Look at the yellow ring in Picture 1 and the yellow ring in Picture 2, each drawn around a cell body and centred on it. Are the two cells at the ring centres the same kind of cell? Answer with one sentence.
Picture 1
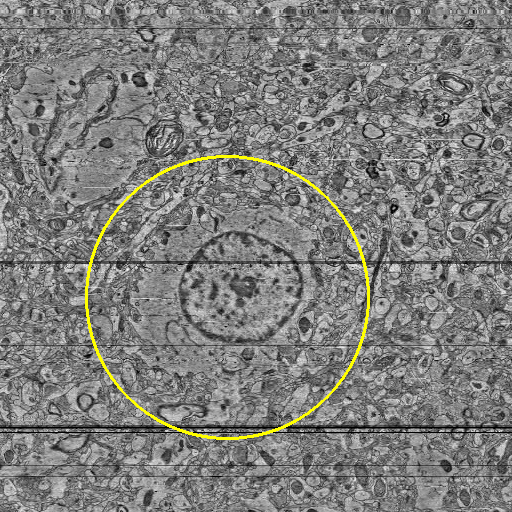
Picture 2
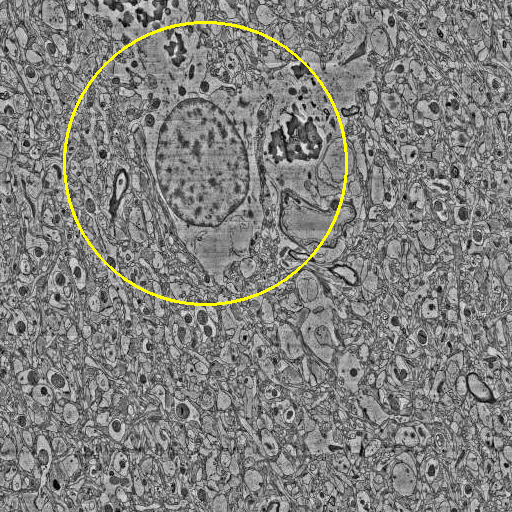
Yes, both are the same kind of cell.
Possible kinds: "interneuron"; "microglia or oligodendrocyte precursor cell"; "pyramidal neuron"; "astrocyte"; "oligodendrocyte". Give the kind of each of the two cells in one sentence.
The cell at the ring centre is an astrocyte in both pictures.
